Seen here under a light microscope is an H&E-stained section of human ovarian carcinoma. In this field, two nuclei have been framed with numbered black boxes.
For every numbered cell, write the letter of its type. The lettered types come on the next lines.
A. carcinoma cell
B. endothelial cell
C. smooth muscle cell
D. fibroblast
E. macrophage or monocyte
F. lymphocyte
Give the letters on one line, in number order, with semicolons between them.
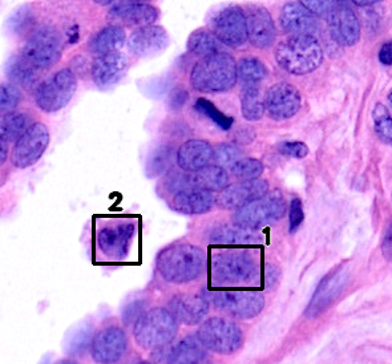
A; E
